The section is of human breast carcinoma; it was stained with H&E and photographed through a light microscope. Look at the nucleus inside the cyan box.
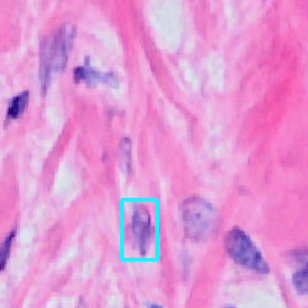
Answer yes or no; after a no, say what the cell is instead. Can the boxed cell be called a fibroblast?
Yes.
